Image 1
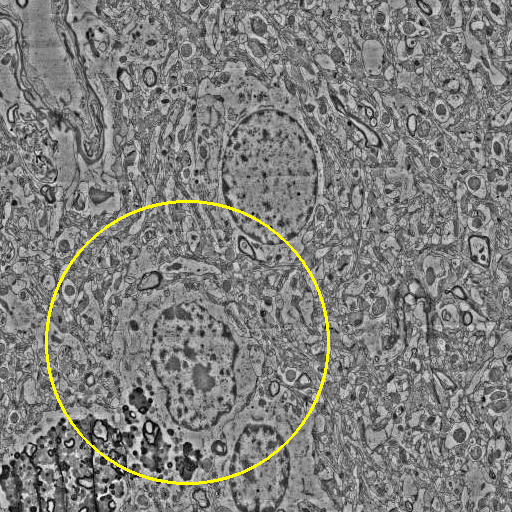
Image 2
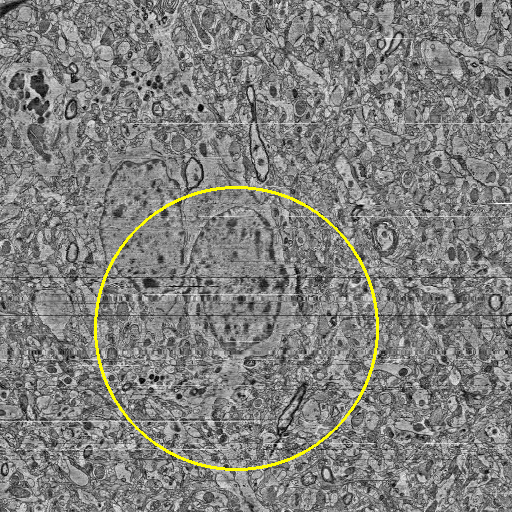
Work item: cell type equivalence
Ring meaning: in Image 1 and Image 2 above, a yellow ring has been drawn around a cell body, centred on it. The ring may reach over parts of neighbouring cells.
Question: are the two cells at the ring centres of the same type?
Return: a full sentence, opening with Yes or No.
Yes, the two centred cells are of the same type.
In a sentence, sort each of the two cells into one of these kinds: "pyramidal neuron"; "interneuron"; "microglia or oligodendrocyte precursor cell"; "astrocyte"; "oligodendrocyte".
The cell at the ring centre is an astrocyte in both pictures.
